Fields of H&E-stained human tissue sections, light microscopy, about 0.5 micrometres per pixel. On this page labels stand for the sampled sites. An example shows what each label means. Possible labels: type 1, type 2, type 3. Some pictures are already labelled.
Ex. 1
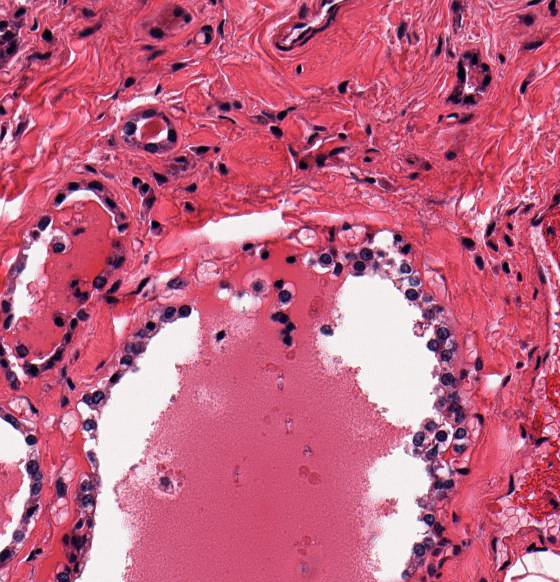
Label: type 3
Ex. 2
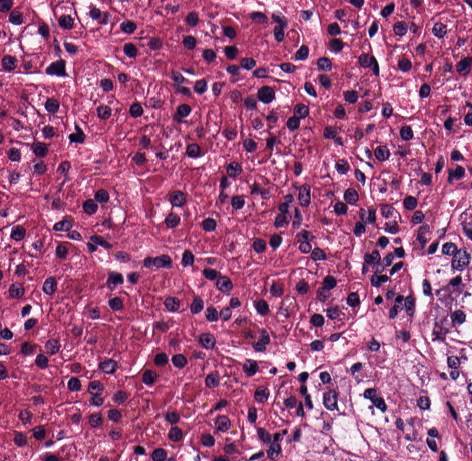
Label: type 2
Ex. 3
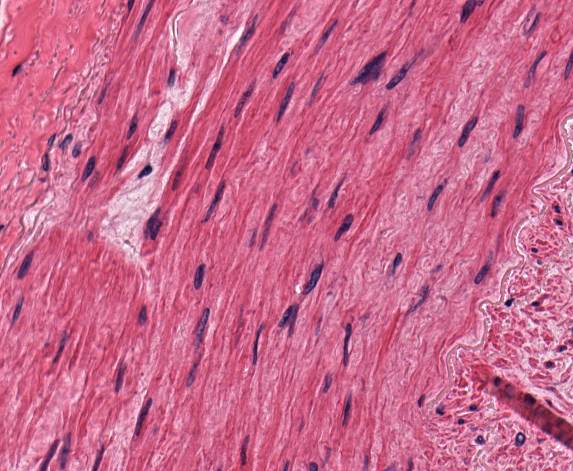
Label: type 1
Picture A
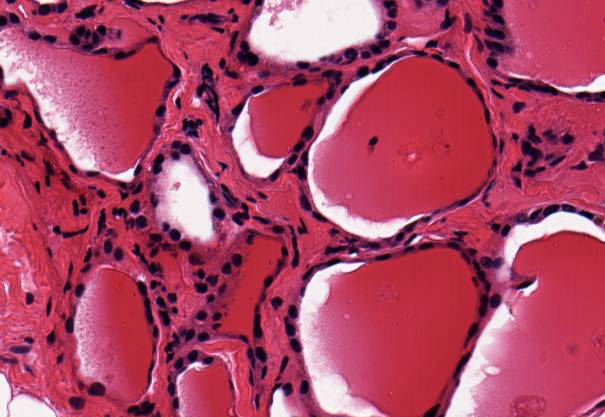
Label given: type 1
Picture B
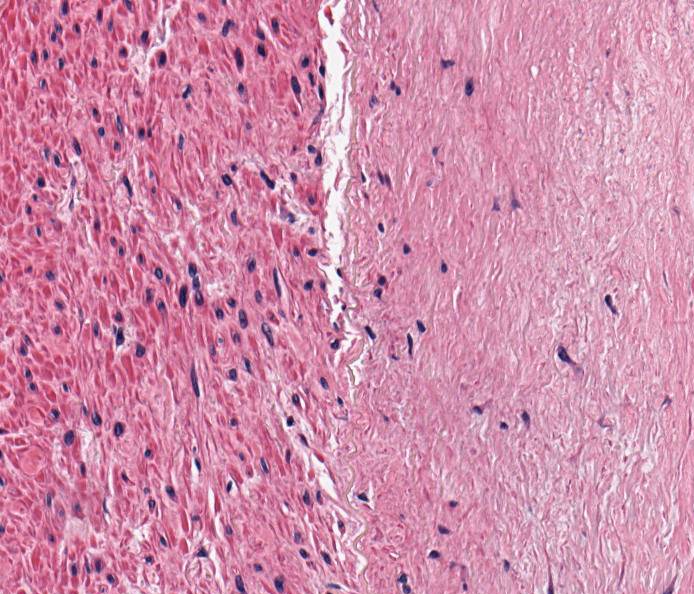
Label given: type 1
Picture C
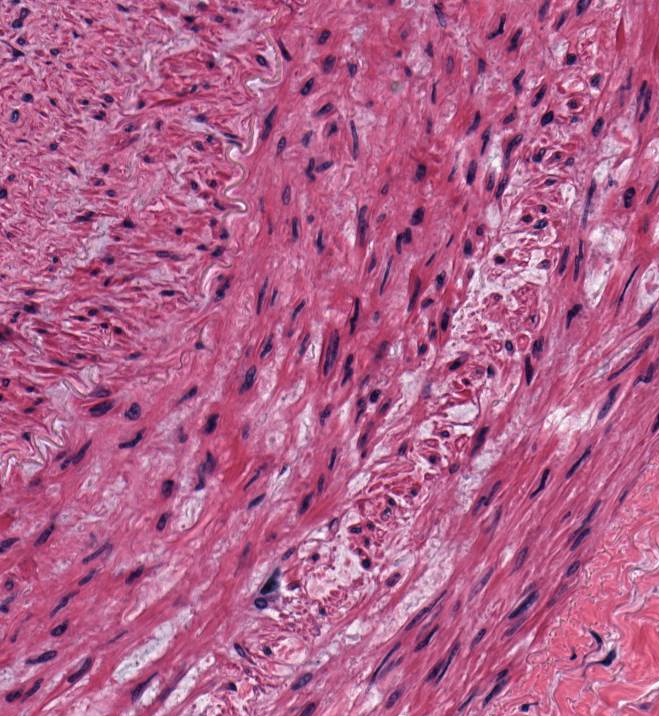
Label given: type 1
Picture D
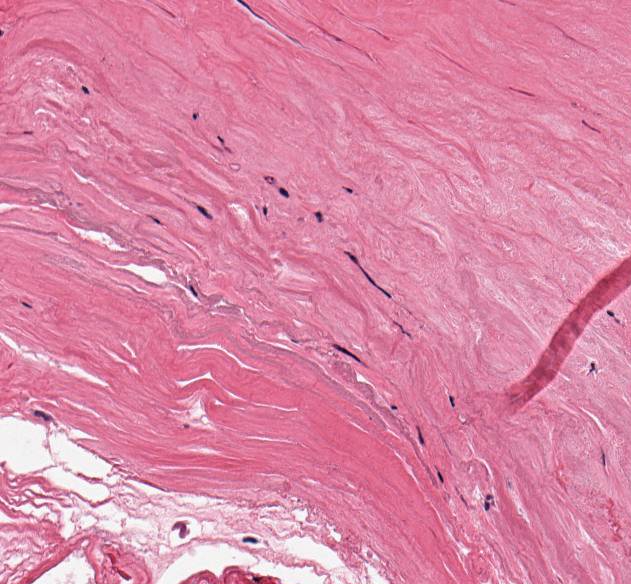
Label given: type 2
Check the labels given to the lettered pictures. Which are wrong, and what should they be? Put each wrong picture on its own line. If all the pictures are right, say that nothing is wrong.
A: not type 1 but type 3
D: not type 2 but type 1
